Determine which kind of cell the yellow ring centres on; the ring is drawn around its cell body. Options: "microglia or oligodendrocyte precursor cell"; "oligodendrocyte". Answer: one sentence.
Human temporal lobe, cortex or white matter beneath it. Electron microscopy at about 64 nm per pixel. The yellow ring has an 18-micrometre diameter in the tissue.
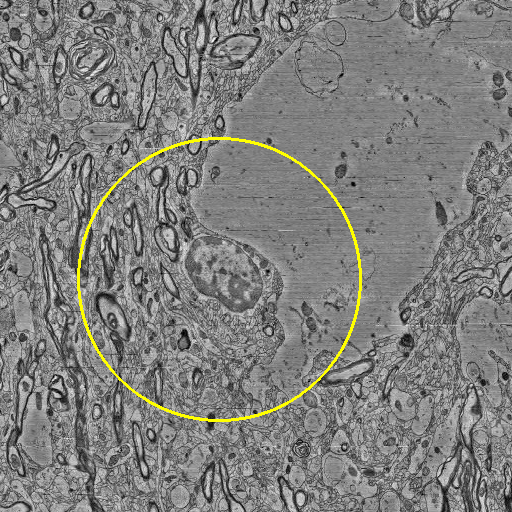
The ring centres on a microglial cell or oligodendrocyte precursor cell.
